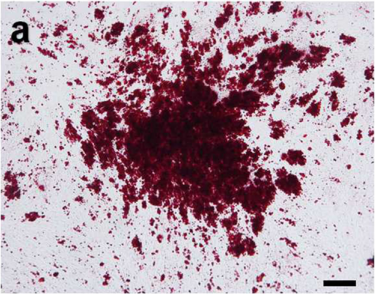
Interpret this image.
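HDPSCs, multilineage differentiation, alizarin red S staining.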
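The red deposits are densest in a central mass and break up toward the edges into many smaller irregular clumps. These scattered fragments lie on a pale, almost unstained background, where single cells cannot be made out.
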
